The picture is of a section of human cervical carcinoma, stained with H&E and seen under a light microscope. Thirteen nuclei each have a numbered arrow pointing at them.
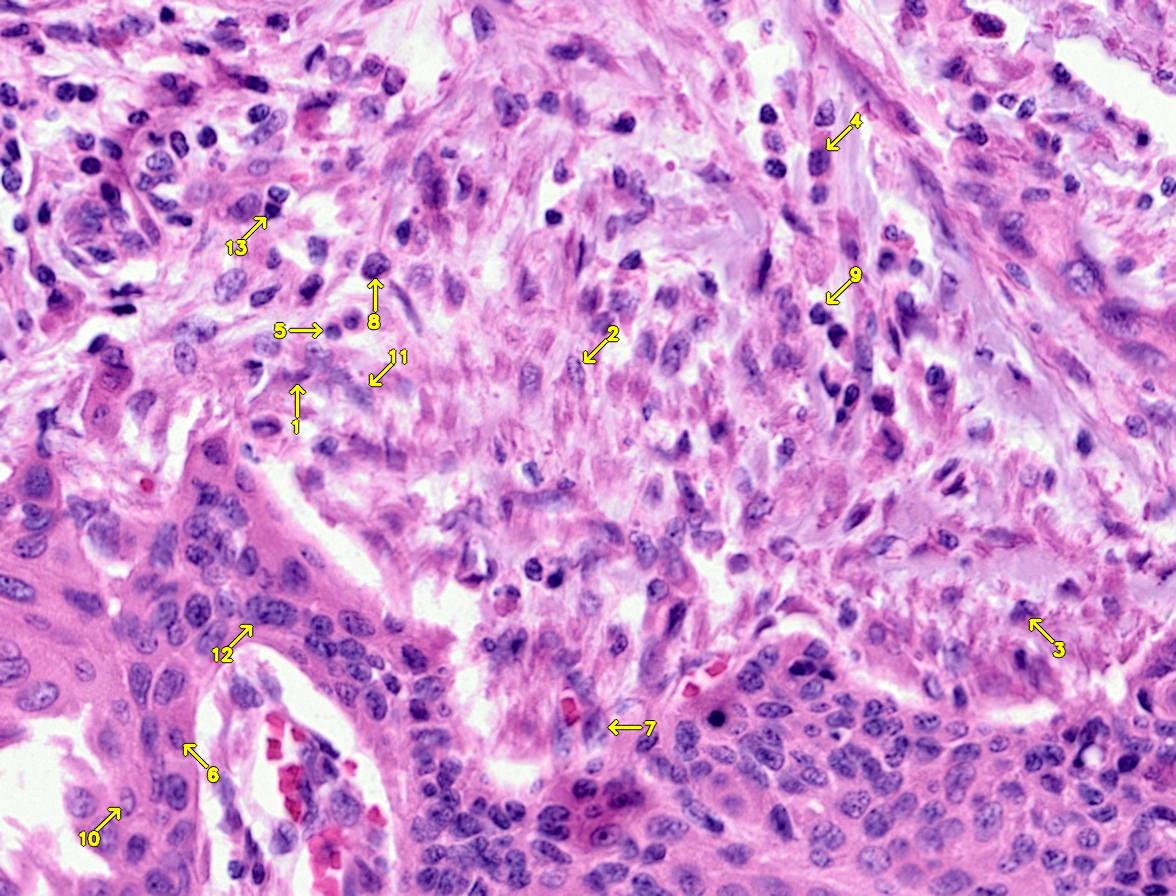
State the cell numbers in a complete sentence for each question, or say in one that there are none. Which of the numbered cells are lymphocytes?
The cells shown with numbers 5, 9 and 13 are lymphocytes.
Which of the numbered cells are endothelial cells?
Cell 7 is an endothelial cell, whereas each of the other numbered cells is not.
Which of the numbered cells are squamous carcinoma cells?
The cells bearing the numbers 6, 10 and 12 are squamous carcinoma cells.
